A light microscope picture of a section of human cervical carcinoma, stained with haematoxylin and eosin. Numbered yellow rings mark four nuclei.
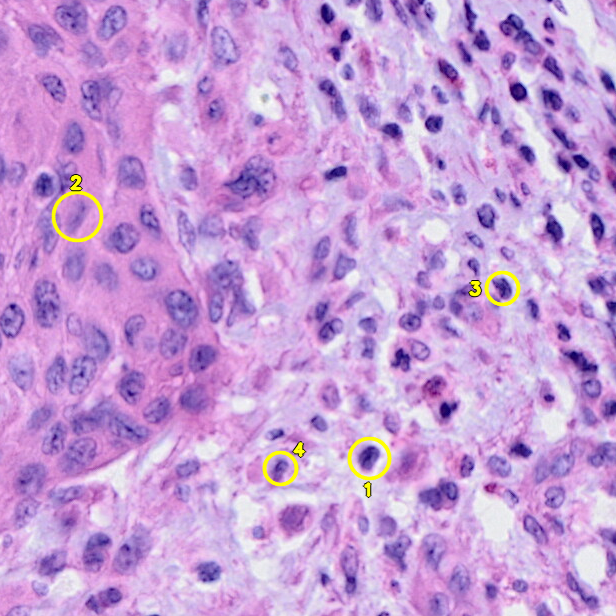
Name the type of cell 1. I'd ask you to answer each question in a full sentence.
The expected answer is that cell 1 is a lymphocyte.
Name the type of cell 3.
Cell 3 of the marked set is a lymphocyte.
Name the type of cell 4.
The cell numbered 4 has been identified as a fibroblast.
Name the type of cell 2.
The cell indicated with the number 2 is classed as a squamous carcinoma cell.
